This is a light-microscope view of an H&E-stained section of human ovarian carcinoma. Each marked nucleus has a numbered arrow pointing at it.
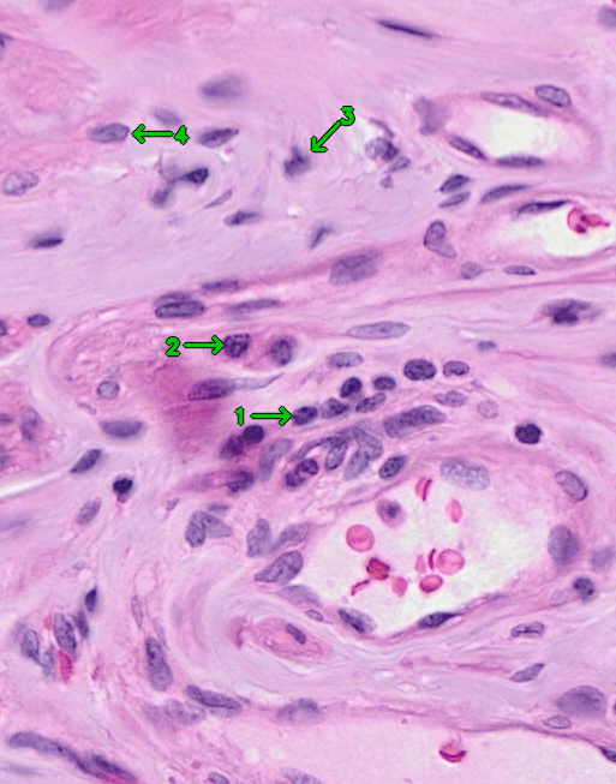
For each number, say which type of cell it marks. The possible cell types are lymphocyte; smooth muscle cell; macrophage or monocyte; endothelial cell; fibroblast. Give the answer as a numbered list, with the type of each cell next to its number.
1. lymphocyte
2. lymphocyte
3. fibroblast
4. smooth muscle cell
